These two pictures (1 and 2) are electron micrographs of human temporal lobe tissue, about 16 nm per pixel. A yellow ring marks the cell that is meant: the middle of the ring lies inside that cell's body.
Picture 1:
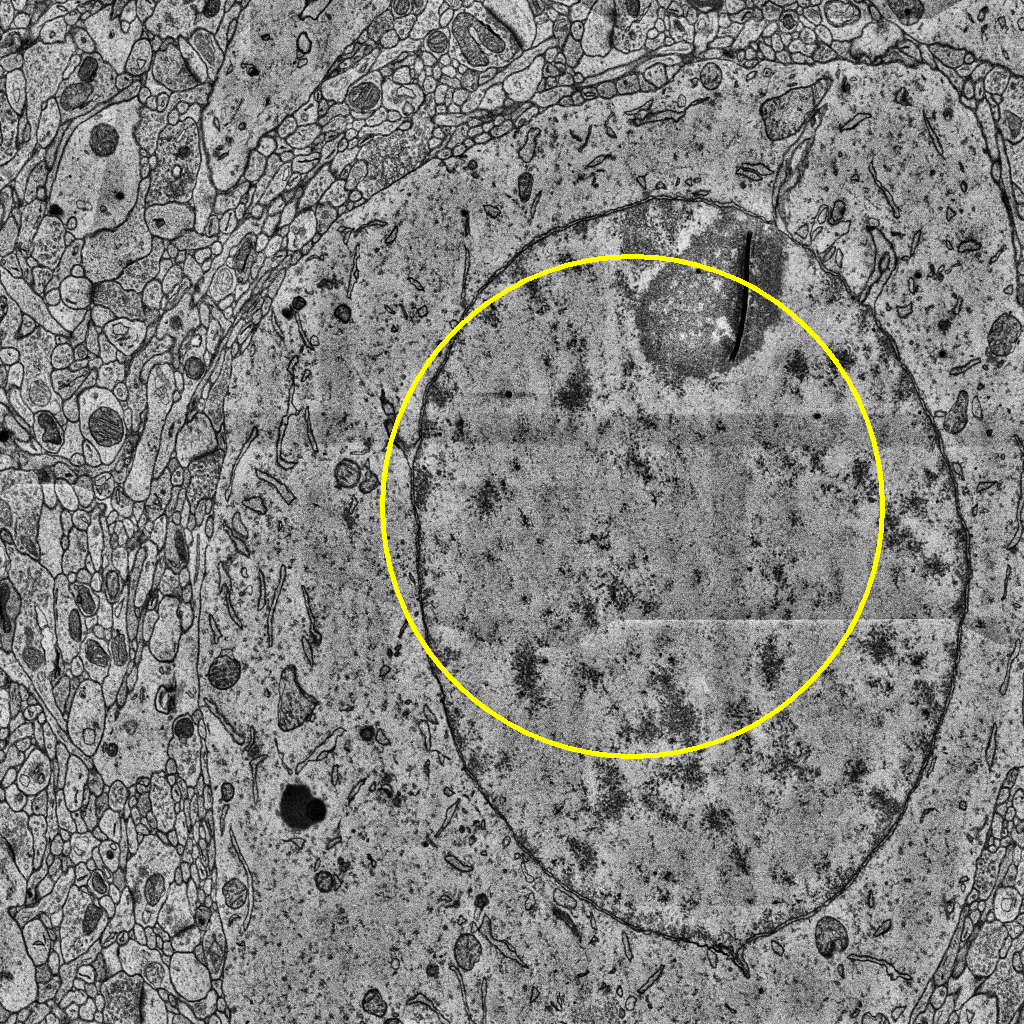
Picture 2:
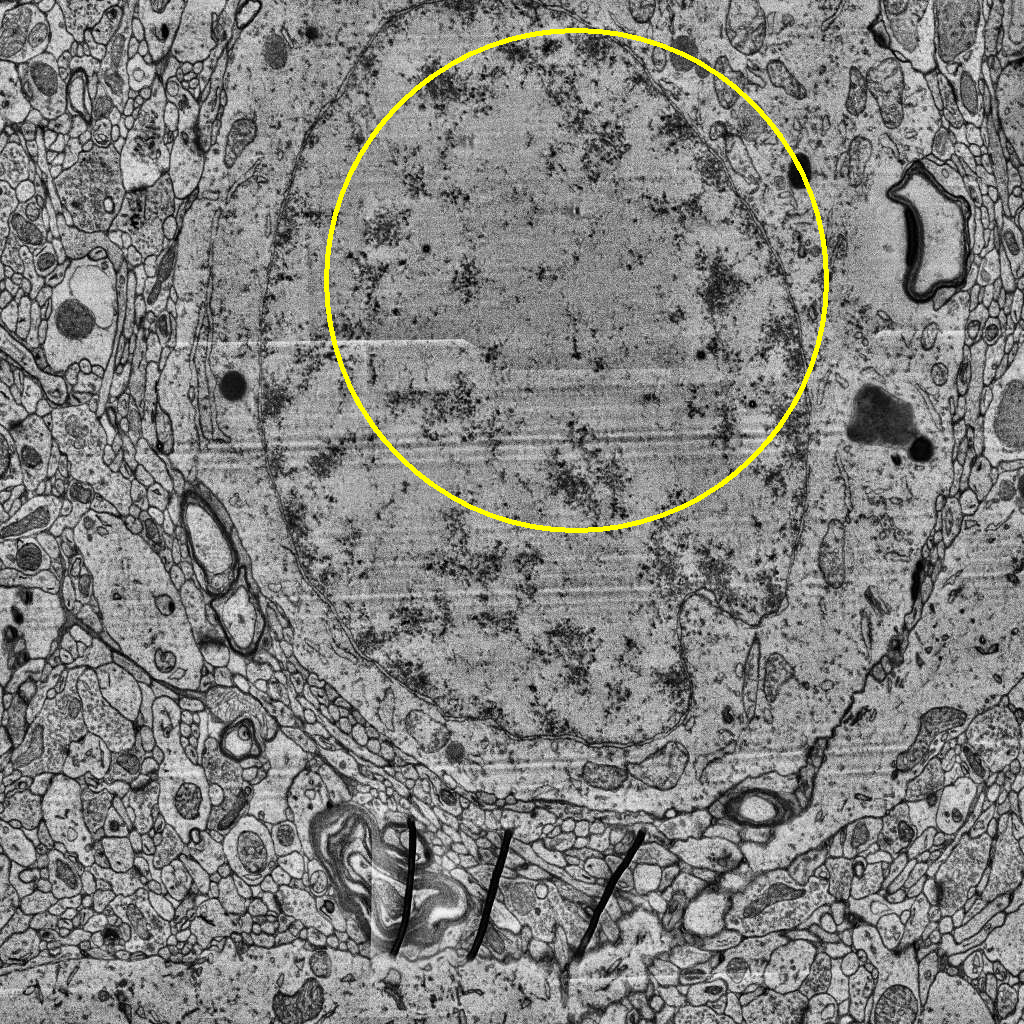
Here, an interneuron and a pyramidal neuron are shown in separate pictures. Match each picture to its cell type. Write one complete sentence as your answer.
The cell in picture 1 is a pyramidal neuron, and the one in picture 2 is an interneuron.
